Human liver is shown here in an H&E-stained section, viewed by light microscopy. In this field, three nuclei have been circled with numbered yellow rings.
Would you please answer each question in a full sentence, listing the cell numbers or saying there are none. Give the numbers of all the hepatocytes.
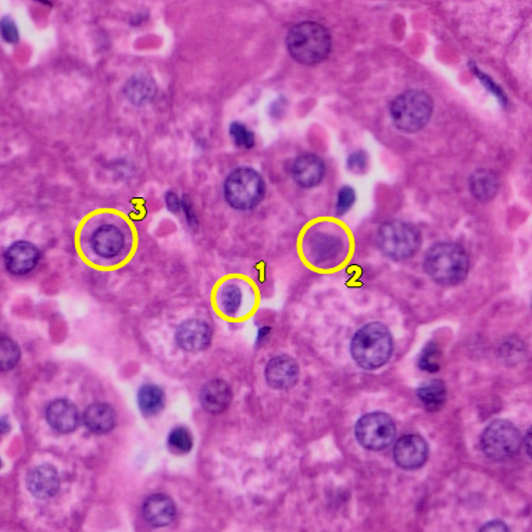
Among the marked cells, a hepatocyte is found only at number 3.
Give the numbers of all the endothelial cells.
It is cell 2, and no other numbered cell, that is an endothelial cell.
